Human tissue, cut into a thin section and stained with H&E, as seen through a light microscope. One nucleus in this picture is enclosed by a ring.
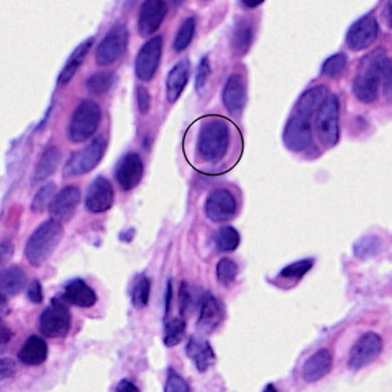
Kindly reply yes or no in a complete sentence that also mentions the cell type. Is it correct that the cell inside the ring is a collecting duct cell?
No, as a cell type, the cell inside the ring is a carcinoma cell rather than a collecting duct cell.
